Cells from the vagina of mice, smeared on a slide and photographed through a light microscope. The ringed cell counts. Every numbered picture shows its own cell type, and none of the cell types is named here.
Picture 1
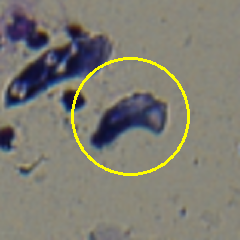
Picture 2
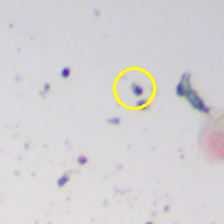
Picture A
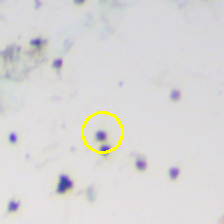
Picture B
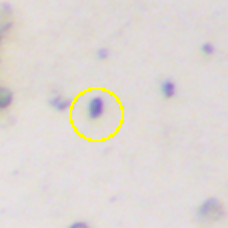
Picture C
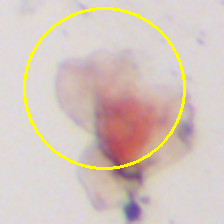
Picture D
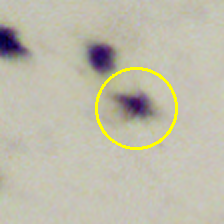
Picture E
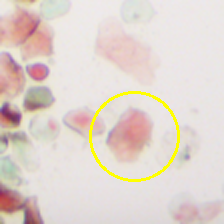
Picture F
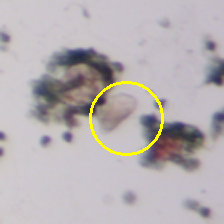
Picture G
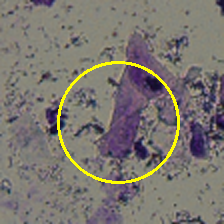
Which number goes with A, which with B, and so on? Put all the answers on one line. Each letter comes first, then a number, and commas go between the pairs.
A 2, B 2, C 1, D 2, E 1, F 1, G 1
